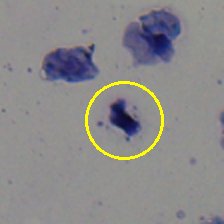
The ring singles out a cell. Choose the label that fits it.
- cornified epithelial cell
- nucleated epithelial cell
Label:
cornified epithelial cell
